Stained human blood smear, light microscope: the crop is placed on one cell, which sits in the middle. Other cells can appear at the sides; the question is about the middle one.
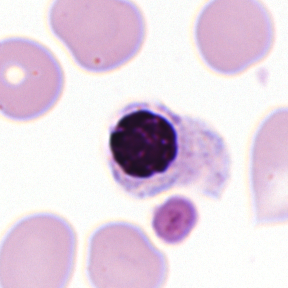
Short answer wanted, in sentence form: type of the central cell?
For this crop, the central cell is an erythroblast.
